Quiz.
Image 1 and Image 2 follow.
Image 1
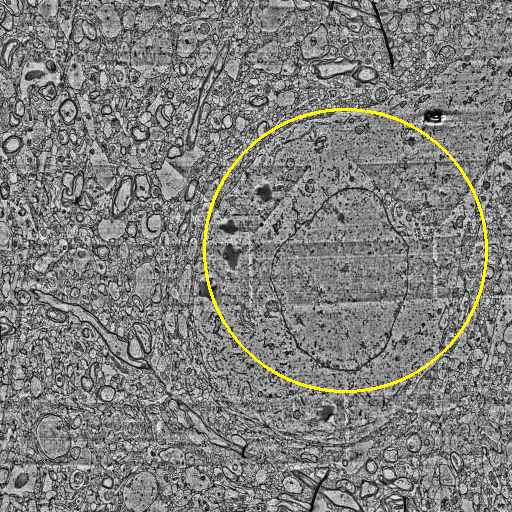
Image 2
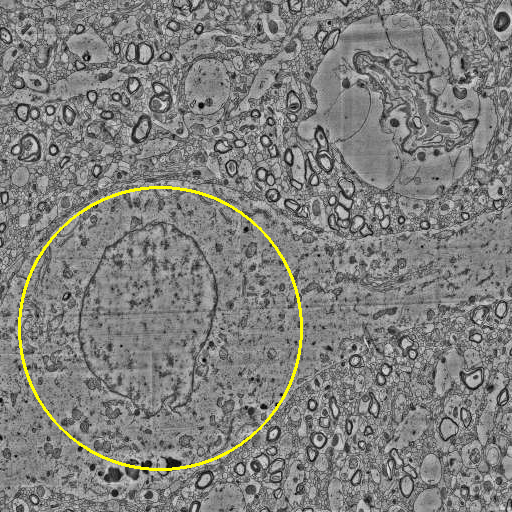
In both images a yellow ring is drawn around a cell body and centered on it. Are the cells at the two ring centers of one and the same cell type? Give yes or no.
yes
